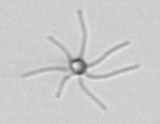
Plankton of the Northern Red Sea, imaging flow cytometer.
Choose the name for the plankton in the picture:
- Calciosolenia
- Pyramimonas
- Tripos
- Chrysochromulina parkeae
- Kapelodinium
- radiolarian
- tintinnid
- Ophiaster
Ophiaster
